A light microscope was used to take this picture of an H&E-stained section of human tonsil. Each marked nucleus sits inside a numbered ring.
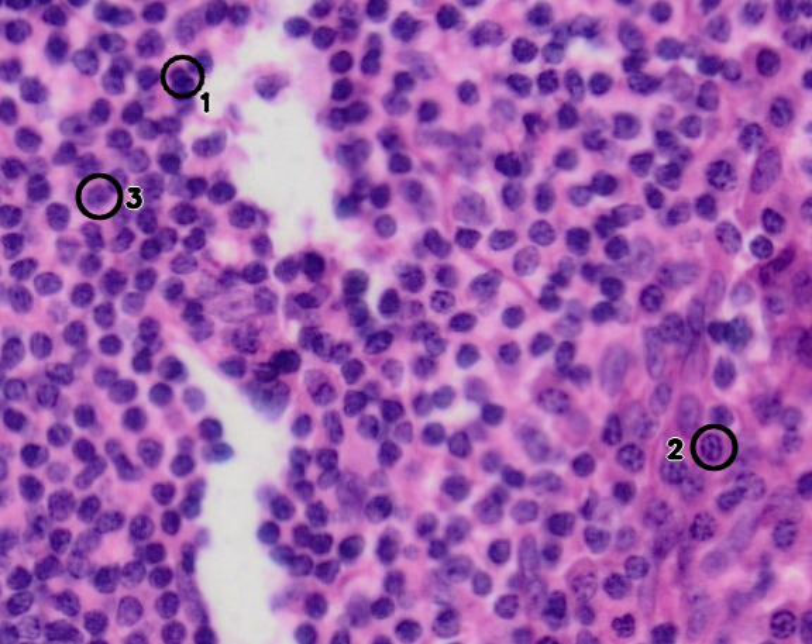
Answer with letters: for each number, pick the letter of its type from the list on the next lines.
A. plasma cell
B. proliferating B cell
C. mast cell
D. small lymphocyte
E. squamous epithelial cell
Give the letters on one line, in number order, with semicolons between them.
D; A; D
